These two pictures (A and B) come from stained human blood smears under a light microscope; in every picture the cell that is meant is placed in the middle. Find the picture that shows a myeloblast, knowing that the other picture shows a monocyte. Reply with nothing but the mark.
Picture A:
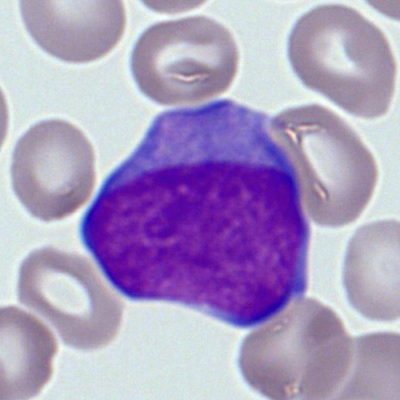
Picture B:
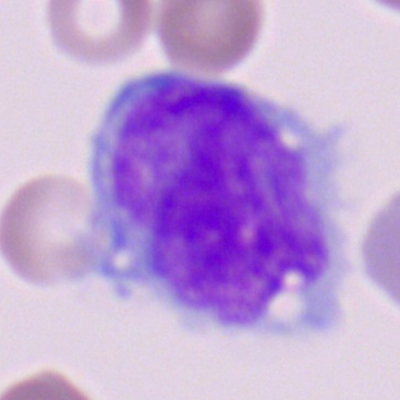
A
